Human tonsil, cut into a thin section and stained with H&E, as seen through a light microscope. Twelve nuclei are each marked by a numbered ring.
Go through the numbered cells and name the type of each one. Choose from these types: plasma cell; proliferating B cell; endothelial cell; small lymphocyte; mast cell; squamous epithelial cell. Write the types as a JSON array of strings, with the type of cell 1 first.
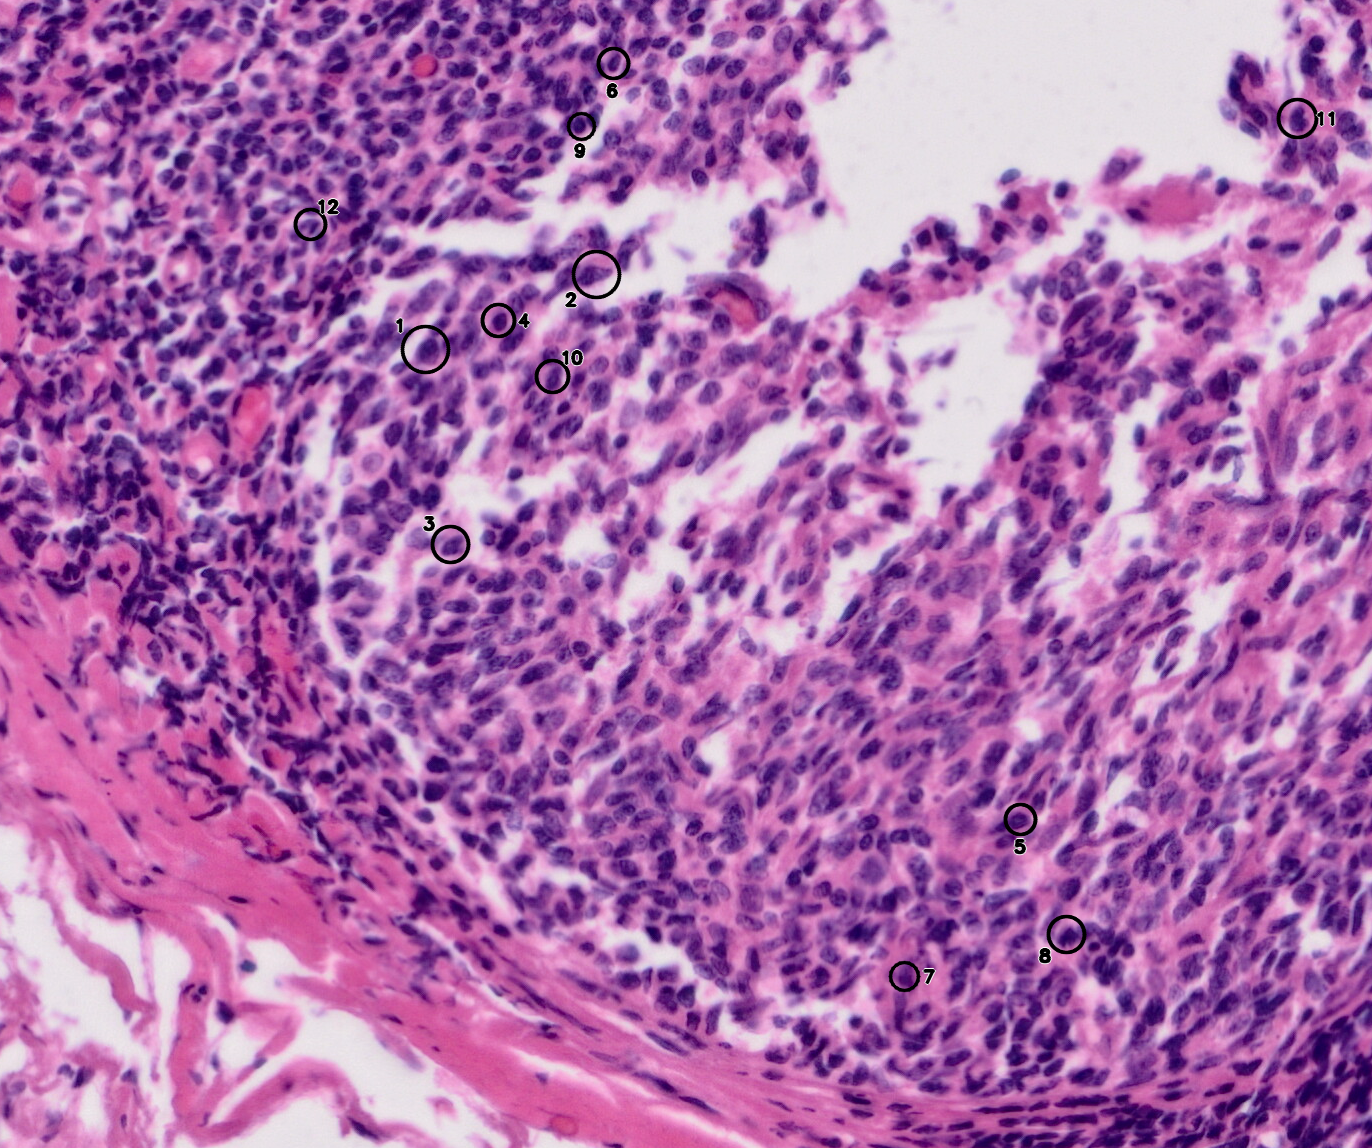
["proliferating B cell", "proliferating B cell", "proliferating B cell", "proliferating B cell", "plasma cell", "small lymphocyte", "endothelial cell", "proliferating B cell", "small lymphocyte", "proliferating B cell", "proliferating B cell", "small lymphocyte"]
